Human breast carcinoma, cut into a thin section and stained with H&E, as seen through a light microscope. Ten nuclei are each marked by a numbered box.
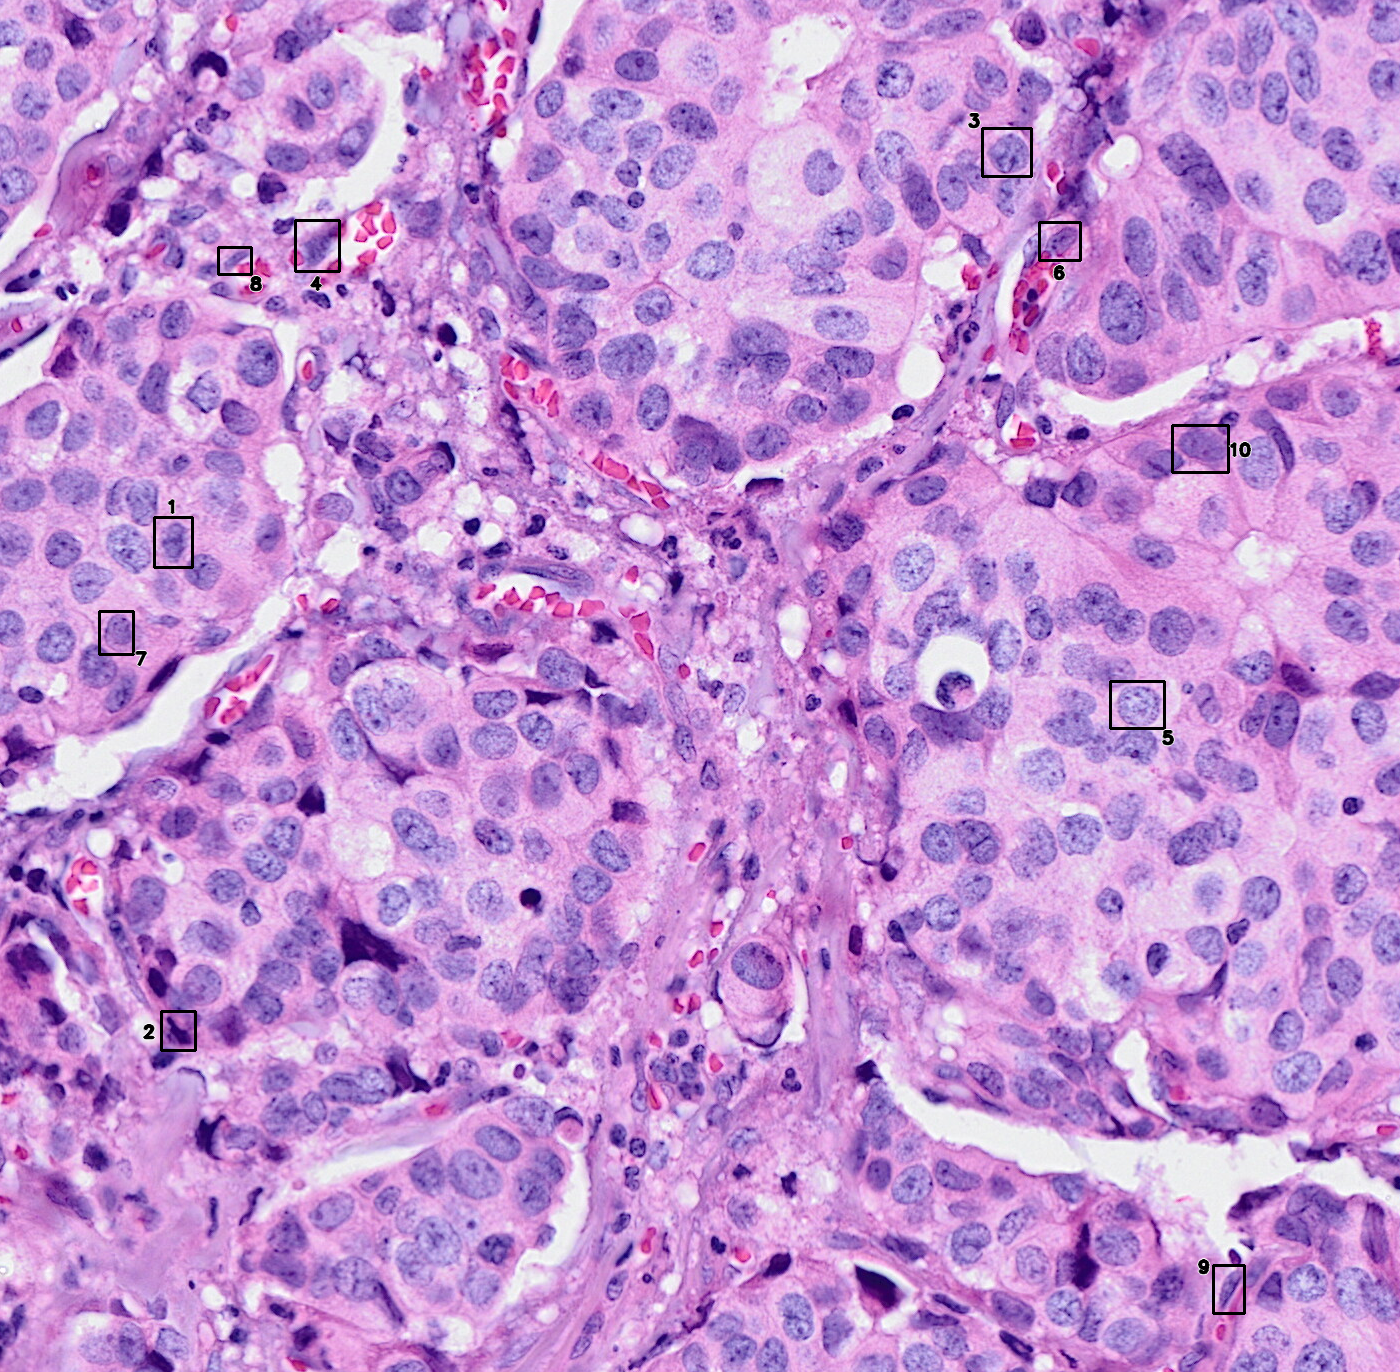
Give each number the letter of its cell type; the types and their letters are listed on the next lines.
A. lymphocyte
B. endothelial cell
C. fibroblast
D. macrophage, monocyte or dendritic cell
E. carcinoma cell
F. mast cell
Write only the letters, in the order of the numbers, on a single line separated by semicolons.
E; E; E; B; E; B; E; B; B; E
